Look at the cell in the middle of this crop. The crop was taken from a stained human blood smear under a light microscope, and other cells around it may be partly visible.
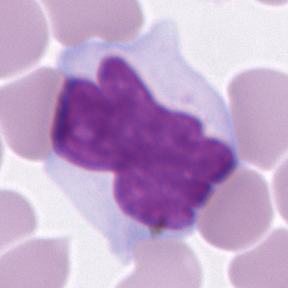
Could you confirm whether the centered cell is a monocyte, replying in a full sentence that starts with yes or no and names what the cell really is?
Yes, a monocyte is present in the middle of the crop.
